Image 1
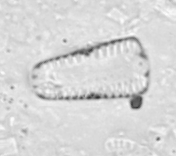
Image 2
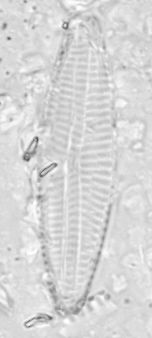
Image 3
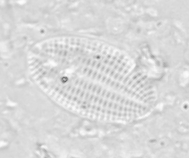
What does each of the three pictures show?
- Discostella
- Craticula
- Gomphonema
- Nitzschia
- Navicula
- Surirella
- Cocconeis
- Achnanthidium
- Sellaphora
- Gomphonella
Picture 1: Gomphonella
Picture 2: Navicula
Picture 3: Cocconeis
